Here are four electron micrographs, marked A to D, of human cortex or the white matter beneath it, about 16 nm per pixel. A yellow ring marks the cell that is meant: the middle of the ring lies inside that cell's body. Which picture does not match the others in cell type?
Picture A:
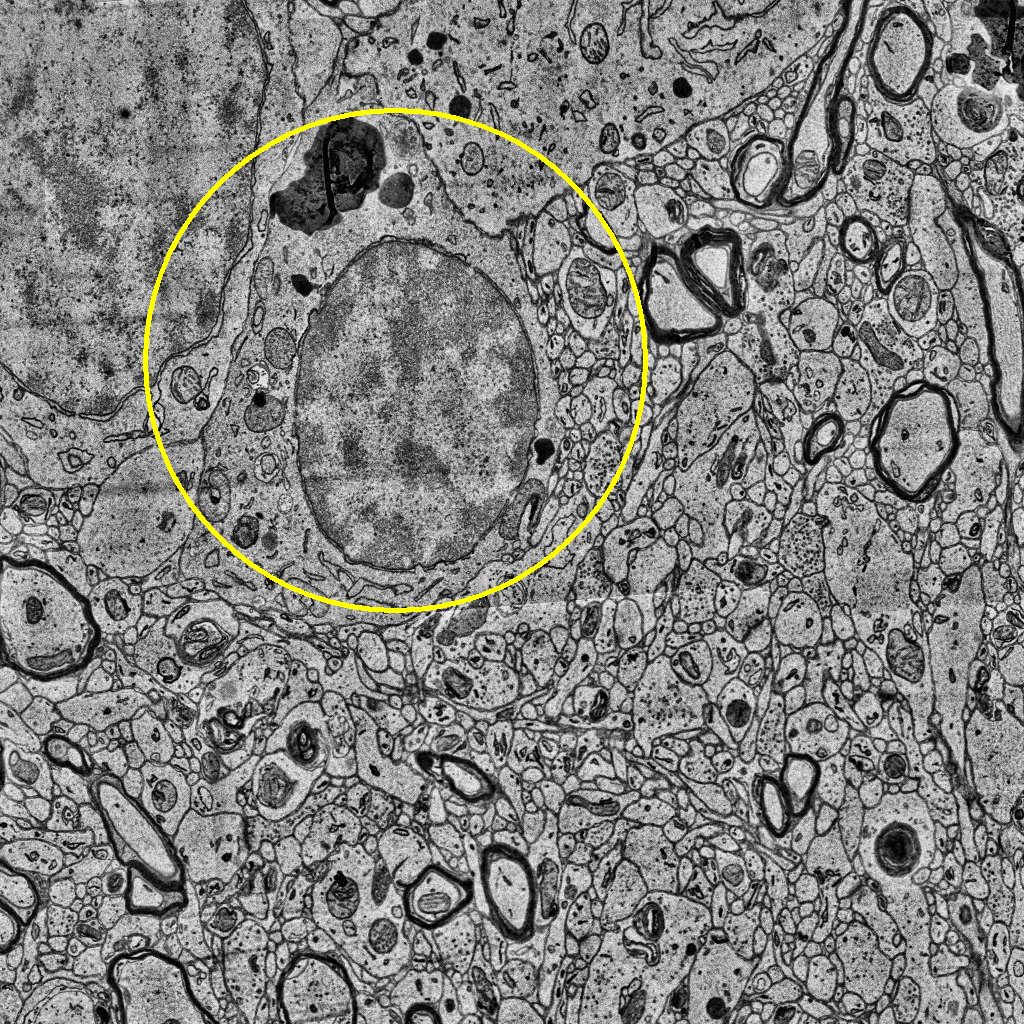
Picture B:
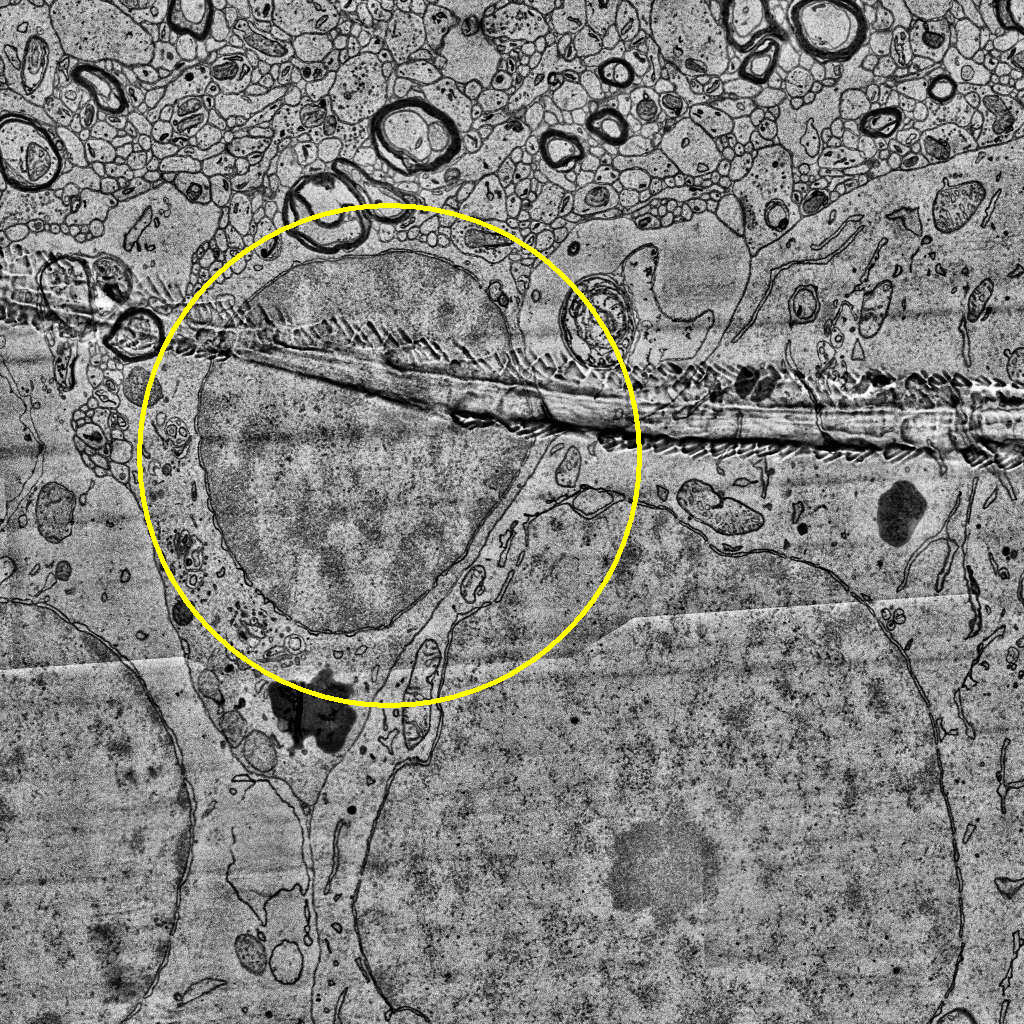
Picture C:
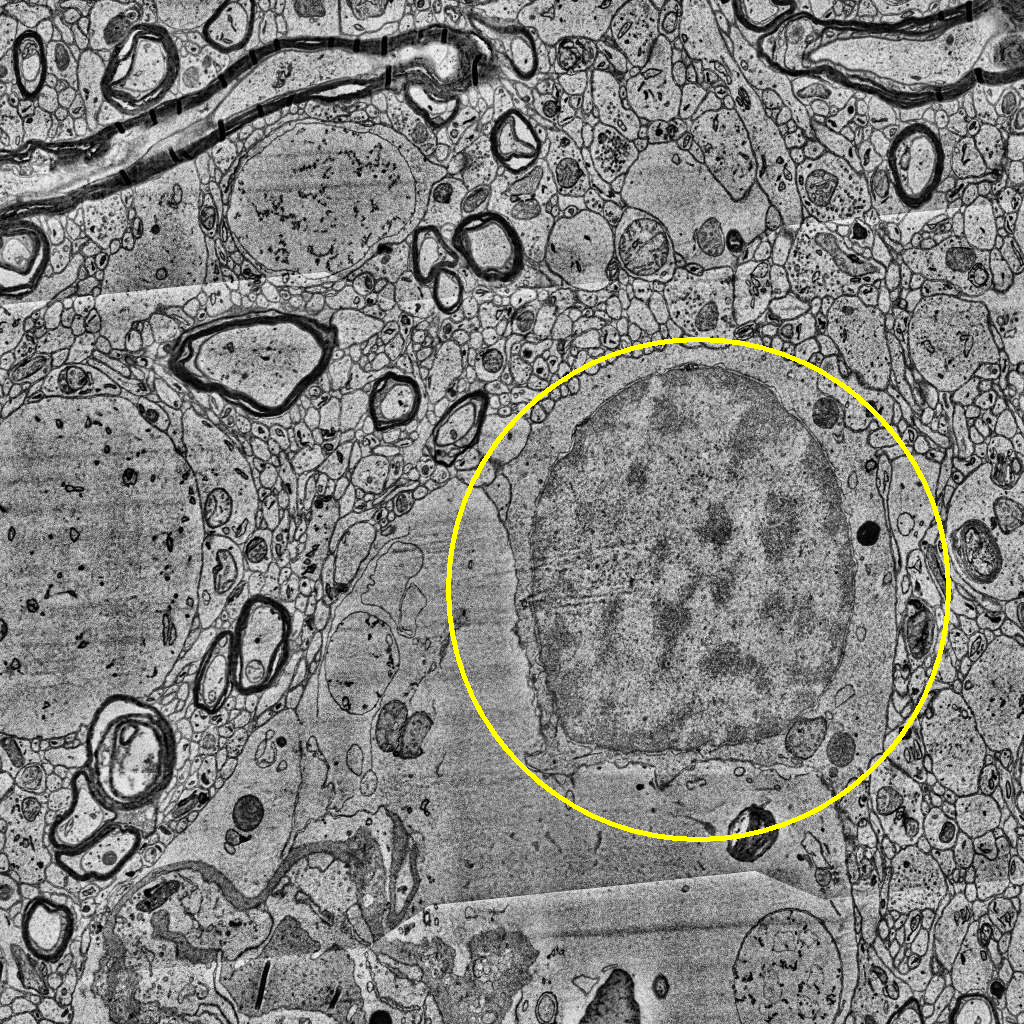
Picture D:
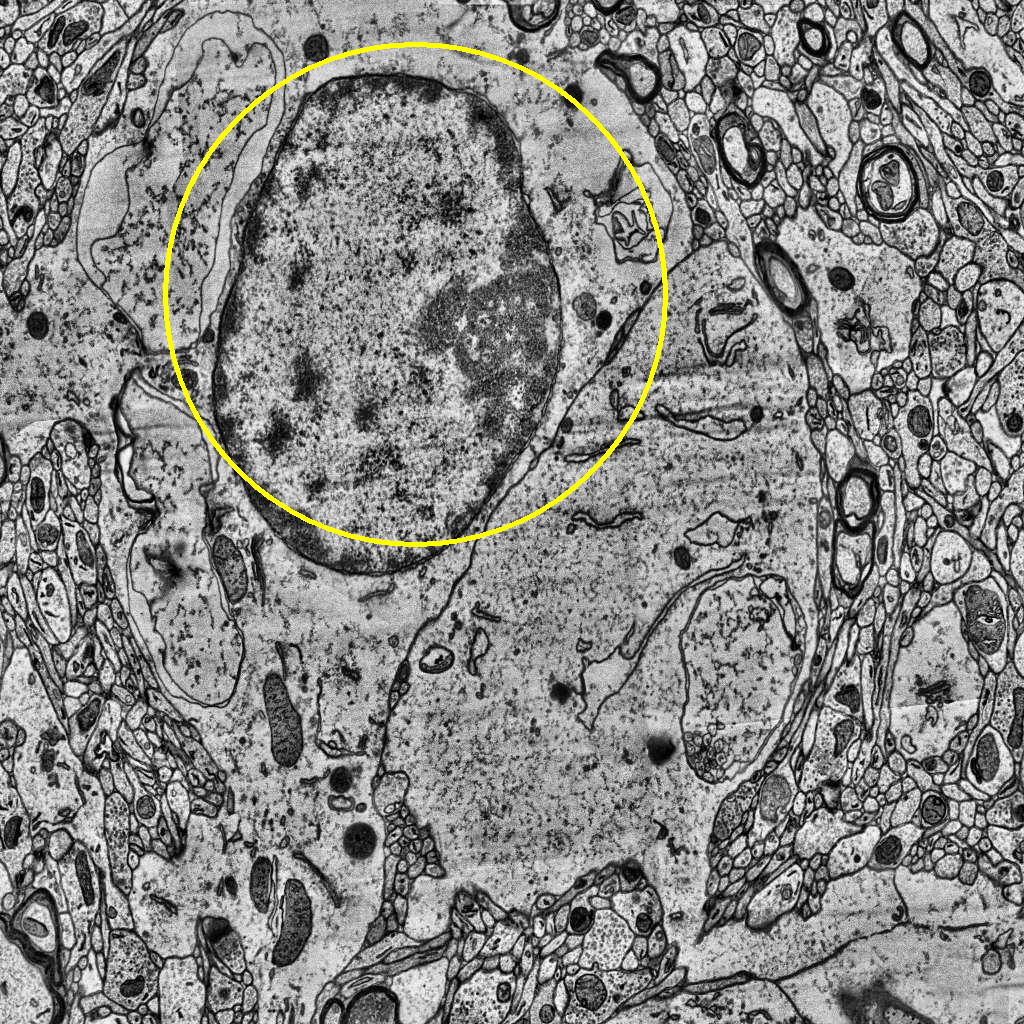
Picture D differs, because its cell is an astrocyte and the rest are oligodendrocytes.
